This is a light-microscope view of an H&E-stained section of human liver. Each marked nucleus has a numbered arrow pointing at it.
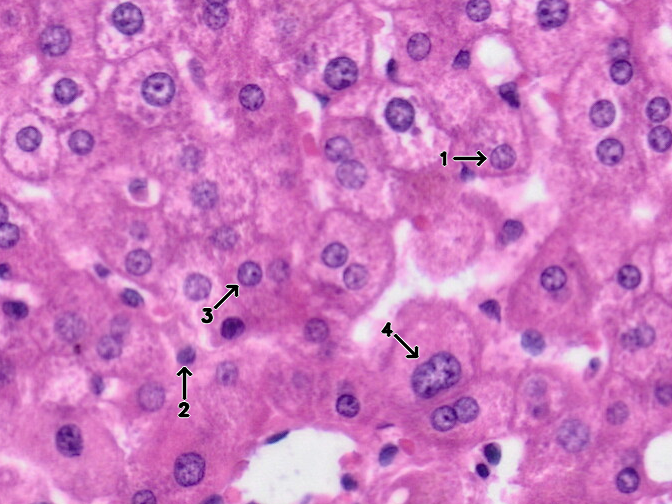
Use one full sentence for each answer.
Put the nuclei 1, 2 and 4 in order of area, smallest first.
The order from the smallest nucleus to the largest is 2, 1, 4.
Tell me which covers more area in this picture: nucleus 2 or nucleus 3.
It is nucleus 3, which covers about 2 times the area of nucleus 2.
